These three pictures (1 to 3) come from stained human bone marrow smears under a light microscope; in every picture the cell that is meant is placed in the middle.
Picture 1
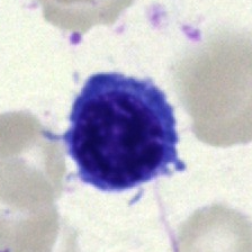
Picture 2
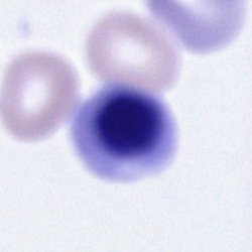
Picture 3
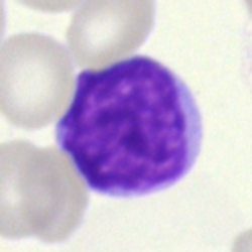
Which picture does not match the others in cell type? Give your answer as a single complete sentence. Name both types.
All pictures except 3 show erythroblasts; picture 3 shows a blast.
